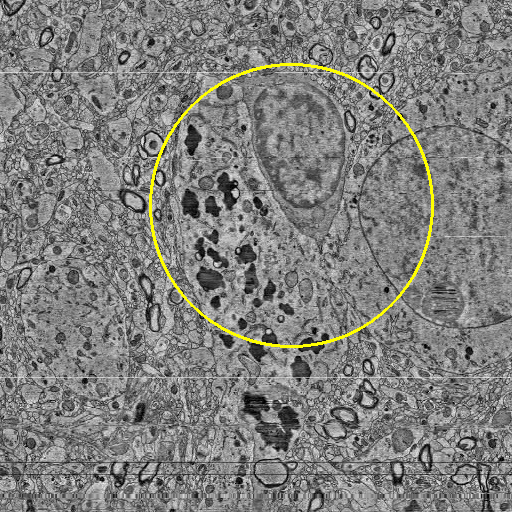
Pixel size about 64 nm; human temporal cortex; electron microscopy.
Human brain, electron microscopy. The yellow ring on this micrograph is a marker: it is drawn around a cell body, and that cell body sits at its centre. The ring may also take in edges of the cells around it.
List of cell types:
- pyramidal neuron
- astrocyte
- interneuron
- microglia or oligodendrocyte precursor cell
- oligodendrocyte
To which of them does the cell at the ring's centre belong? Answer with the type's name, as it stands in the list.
oligodendrocyte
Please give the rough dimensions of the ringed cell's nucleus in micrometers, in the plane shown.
In this plane, about 8 micrometres in length and 6 in width.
